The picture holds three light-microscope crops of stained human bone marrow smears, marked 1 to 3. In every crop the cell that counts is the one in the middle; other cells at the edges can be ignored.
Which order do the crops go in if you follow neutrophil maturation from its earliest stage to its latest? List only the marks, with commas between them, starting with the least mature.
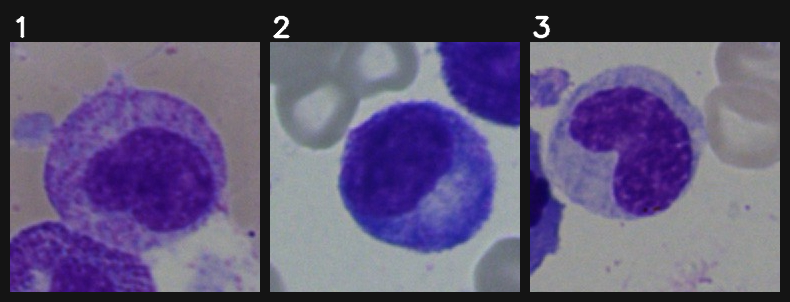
2, 1, 3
